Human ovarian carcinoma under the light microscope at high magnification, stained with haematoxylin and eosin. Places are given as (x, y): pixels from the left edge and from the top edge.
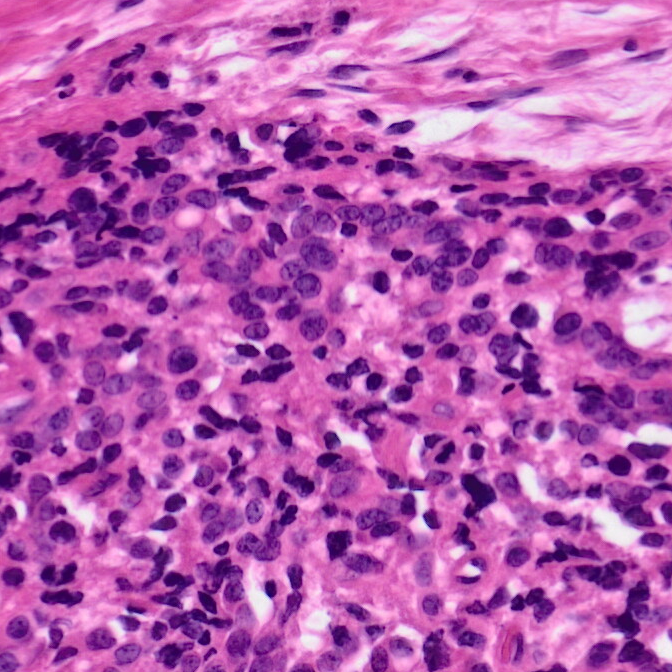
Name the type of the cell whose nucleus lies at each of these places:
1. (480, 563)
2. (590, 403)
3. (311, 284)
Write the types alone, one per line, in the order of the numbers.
endothelial cell
carcinoma cell
carcinoma cell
